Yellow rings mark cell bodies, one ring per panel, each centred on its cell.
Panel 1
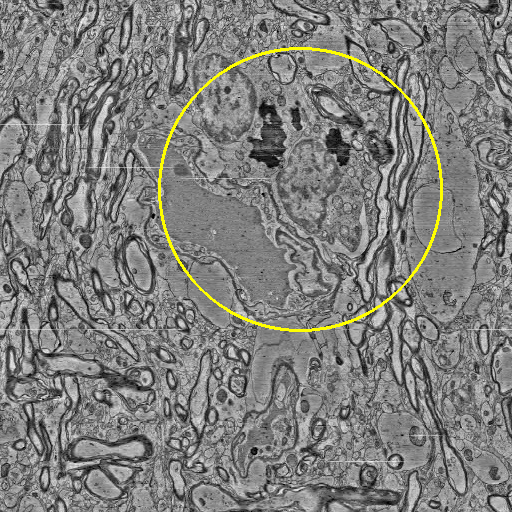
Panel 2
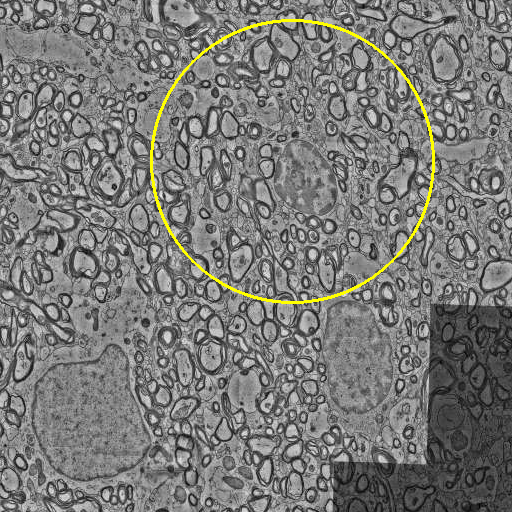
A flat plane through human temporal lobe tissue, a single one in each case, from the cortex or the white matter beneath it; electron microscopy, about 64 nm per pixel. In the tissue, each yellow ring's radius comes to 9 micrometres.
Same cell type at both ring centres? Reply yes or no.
no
